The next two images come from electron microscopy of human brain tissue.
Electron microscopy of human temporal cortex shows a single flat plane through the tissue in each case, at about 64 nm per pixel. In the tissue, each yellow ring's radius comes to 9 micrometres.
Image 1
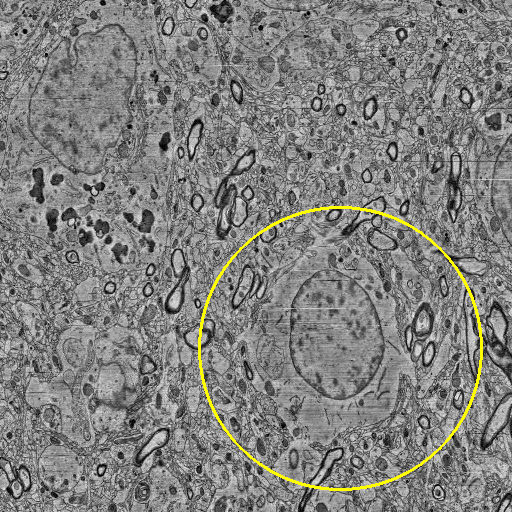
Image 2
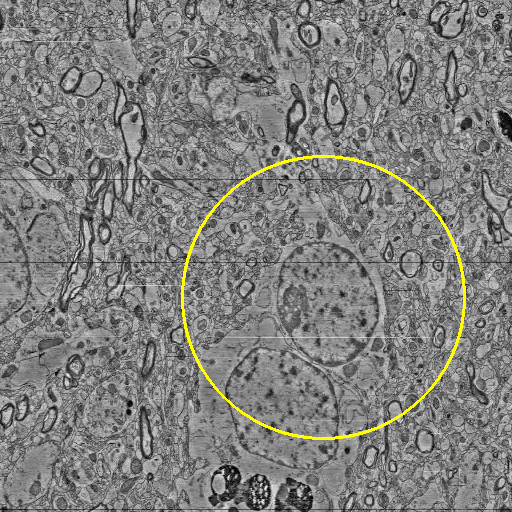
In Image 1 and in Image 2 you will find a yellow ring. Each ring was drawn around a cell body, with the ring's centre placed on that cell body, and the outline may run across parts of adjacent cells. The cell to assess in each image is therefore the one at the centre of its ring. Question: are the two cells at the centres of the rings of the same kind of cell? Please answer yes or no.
yes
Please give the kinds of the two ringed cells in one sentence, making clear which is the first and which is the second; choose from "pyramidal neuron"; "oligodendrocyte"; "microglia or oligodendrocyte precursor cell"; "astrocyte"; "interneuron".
Both rings mark an astrocyte, one in each picture.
